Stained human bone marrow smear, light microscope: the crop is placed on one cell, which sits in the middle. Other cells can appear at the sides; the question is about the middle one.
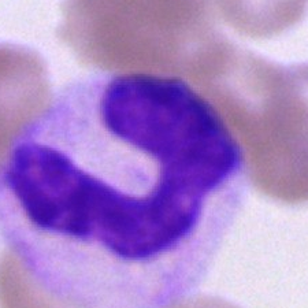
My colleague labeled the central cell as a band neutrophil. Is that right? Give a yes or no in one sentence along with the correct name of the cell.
Yes, in the middle of the crop is a band neutrophil.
